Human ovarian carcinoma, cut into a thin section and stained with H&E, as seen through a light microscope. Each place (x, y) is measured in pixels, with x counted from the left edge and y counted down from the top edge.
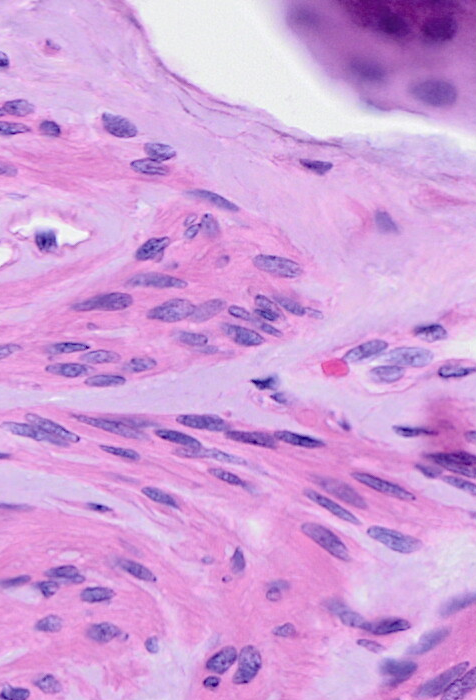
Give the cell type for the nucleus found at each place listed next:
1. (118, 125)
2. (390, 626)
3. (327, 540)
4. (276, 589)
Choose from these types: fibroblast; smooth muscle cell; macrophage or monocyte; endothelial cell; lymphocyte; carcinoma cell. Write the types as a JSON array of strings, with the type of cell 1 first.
["fibroblast", "smooth muscle cell", "smooth muscle cell", "smooth muscle cell"]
